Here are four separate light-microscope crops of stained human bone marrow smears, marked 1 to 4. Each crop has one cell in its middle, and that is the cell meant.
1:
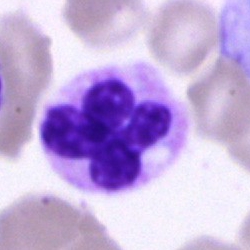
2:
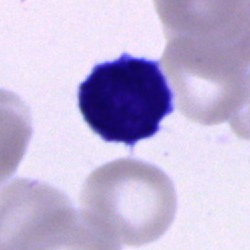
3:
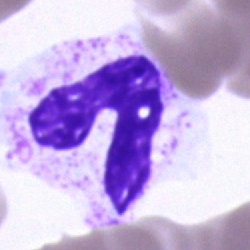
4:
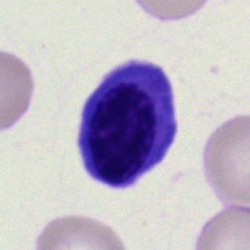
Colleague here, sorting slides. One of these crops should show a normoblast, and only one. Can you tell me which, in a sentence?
Among the crops provided, a normoblast occupies the center of crop 4.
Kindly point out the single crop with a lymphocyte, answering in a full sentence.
Crop 2 is the one depicting a lymphocyte.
